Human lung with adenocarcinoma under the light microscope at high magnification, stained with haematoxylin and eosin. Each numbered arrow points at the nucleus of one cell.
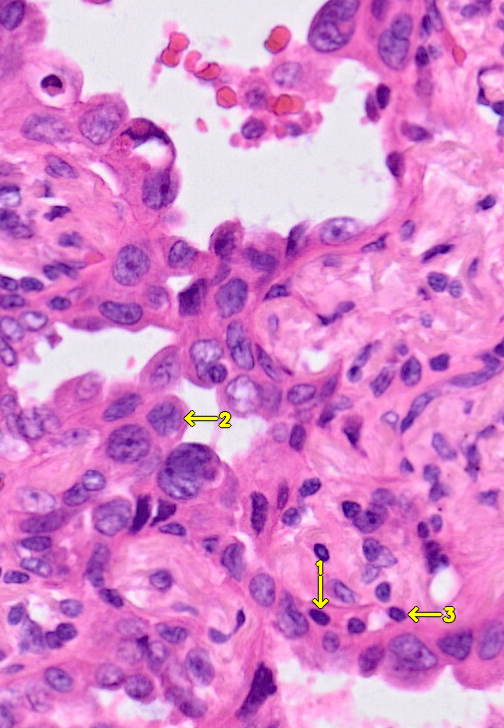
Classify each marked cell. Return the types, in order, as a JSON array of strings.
["lymphocyte", "carcinoma cell", "lymphocyte"]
